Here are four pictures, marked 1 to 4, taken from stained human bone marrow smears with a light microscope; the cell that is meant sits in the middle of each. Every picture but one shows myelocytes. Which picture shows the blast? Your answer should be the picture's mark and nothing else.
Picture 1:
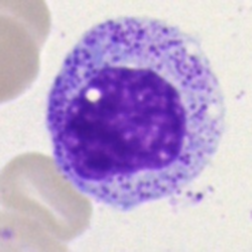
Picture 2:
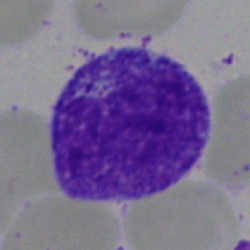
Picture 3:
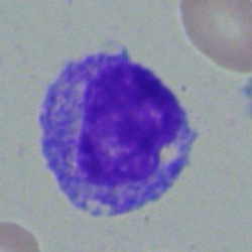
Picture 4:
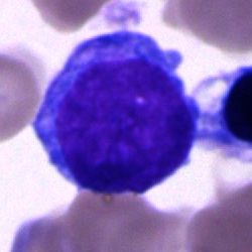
4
